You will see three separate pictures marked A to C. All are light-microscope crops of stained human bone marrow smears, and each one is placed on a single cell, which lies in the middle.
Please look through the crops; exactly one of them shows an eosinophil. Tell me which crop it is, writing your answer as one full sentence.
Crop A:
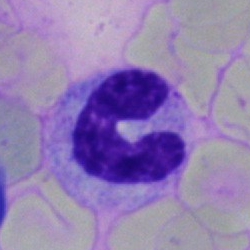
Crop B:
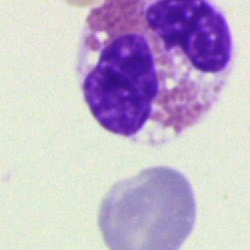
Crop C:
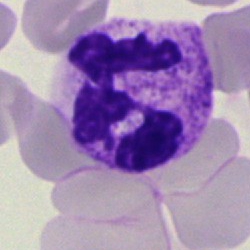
When the crops are compared, crop B is the one showing an eosinophil.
